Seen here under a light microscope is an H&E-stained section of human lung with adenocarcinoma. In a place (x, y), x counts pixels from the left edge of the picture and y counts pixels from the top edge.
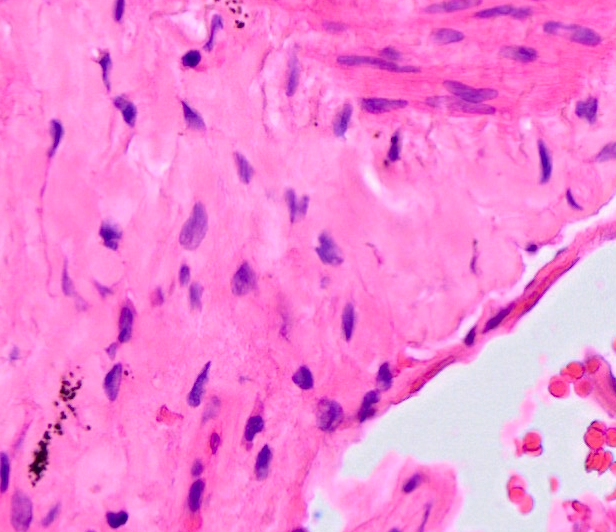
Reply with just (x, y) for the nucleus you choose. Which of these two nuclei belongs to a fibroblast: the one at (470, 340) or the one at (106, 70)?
(106, 70)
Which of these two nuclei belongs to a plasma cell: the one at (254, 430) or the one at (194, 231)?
(254, 430)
